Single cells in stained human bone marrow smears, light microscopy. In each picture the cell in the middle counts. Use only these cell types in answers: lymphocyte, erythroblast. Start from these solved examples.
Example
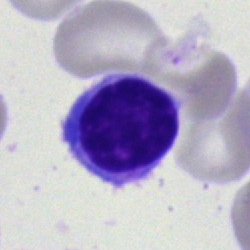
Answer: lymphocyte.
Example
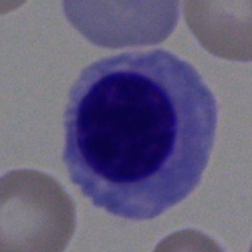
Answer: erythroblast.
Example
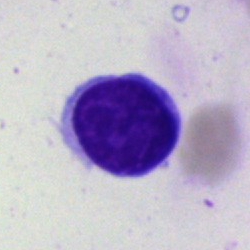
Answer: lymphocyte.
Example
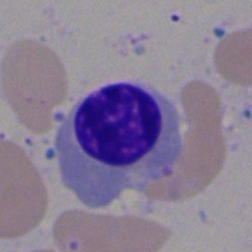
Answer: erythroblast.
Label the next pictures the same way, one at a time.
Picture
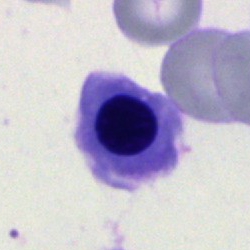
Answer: erythroblast.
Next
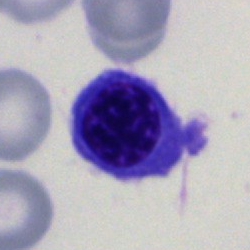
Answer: erythroblast.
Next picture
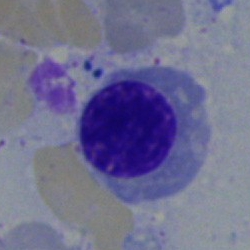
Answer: erythroblast.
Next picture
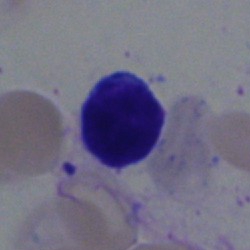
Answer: lymphocyte.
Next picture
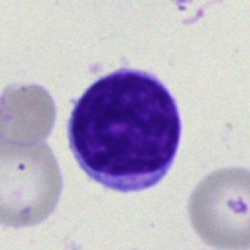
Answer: lymphocyte.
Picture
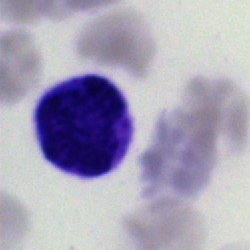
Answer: lymphocyte.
